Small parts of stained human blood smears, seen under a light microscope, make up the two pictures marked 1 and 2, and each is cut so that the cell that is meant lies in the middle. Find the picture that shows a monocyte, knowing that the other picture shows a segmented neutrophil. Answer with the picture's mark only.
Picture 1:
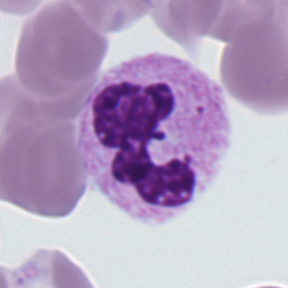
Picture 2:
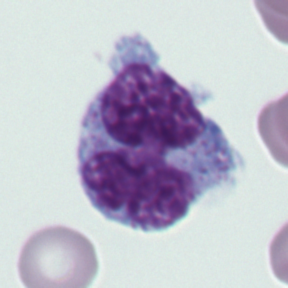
2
